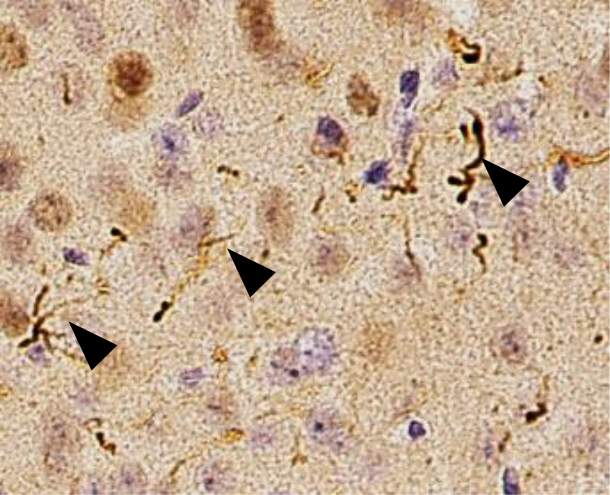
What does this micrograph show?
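The neuropil has a finely granular brown background. Standing out against it are very dark brown, thread-like strands, some short and straight, some curled or forked like little branching worms. These pathological deposits lie in the neuropil between the cell bodies, as if tracing fine neurites, rather than filling the nuclei.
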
